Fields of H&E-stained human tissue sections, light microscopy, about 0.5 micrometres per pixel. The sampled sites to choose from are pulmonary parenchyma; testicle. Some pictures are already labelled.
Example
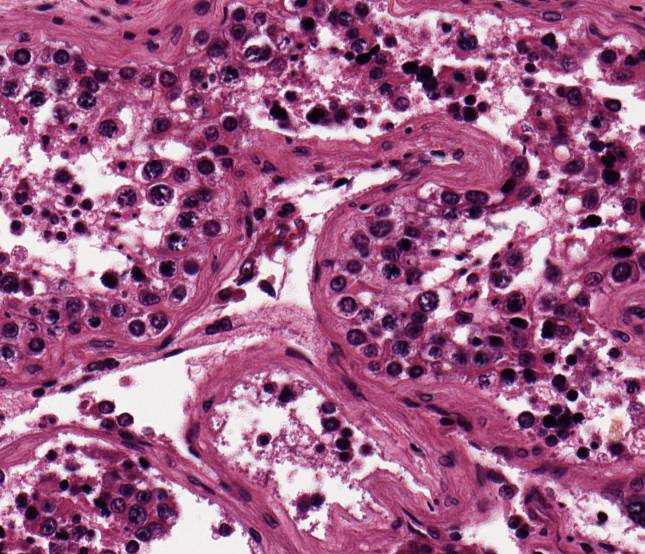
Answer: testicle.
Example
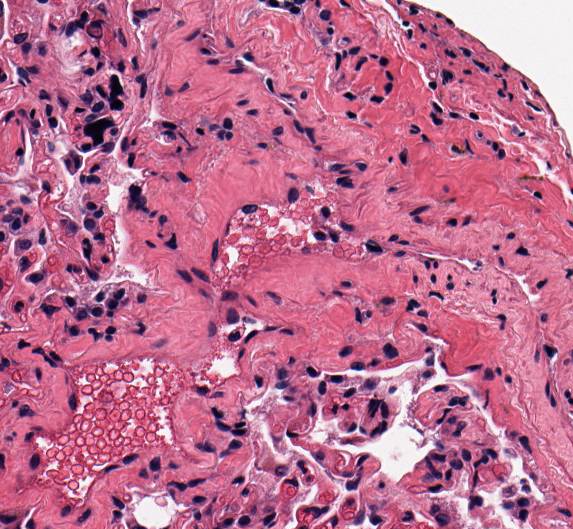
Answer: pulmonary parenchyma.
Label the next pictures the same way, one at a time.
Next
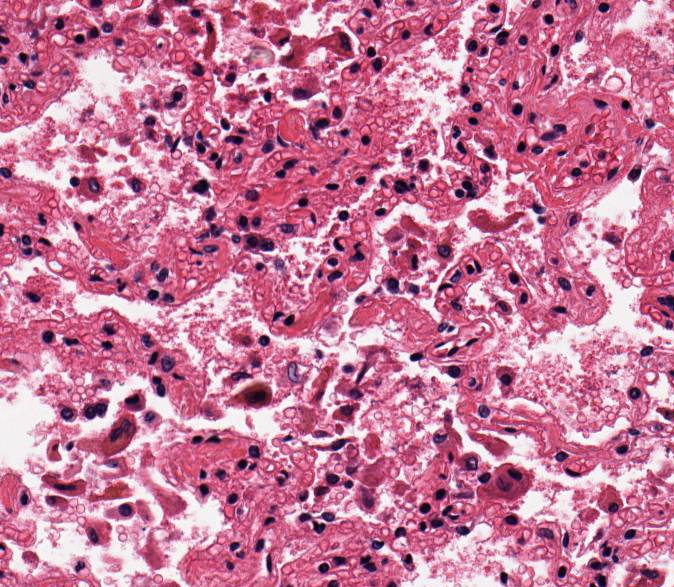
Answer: pulmonary parenchyma.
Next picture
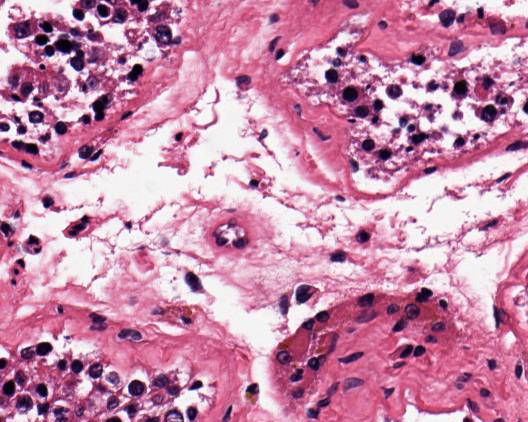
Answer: testicle.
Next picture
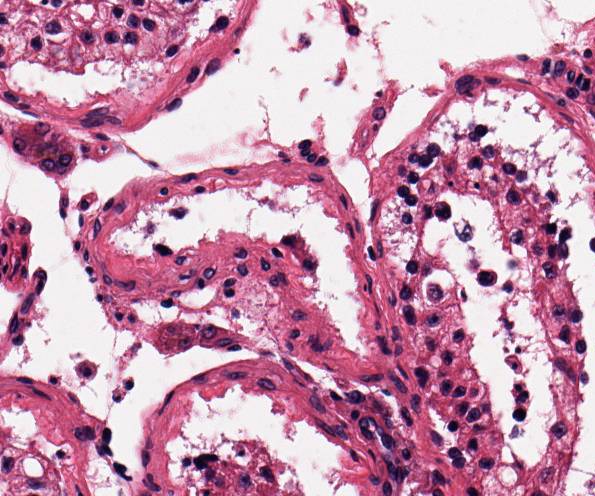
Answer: testicle.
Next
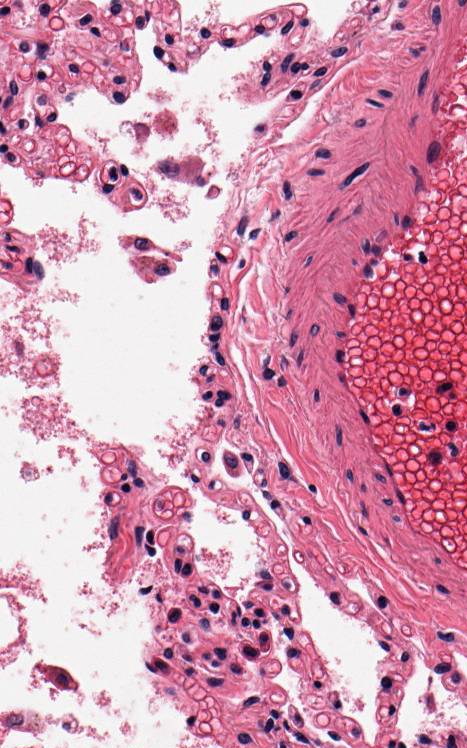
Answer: pulmonary parenchyma.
